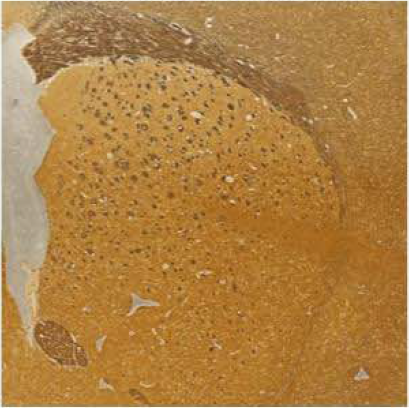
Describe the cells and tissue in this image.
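Brain tissue stained in golden brown, with a darker brown arched band of fibers curving over a large rounded region. The region beneath is speckled with numerous small dark brown round fiber bundles, densest toward the top.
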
